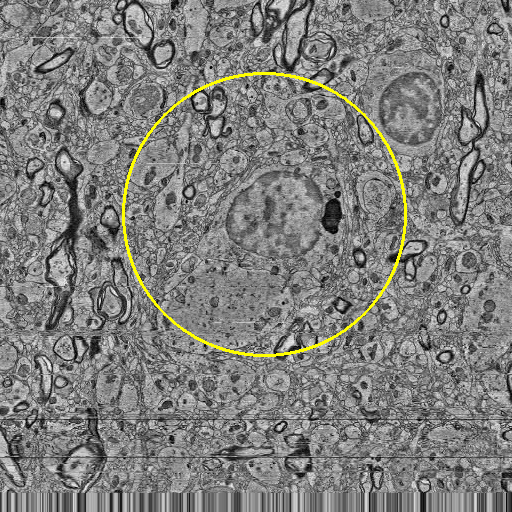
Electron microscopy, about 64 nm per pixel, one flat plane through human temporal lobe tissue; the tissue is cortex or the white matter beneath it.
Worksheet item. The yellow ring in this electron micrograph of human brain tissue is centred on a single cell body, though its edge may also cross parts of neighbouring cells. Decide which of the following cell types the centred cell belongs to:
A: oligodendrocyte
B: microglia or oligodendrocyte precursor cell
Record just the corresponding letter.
A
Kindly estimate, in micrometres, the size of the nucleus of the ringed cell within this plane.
The nucleus is approximately 7 micrometers long by 6 micrometers wide in this plane.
